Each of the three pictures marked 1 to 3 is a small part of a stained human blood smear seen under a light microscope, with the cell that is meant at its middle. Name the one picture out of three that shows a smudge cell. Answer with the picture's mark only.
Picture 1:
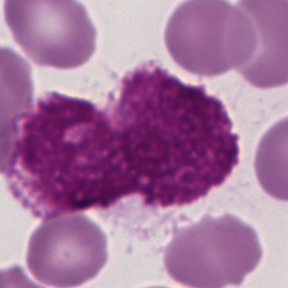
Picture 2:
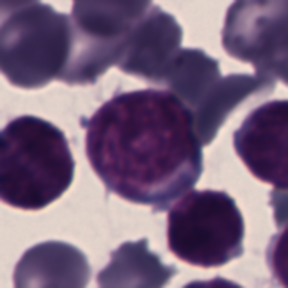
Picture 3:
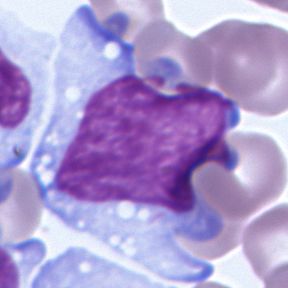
1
